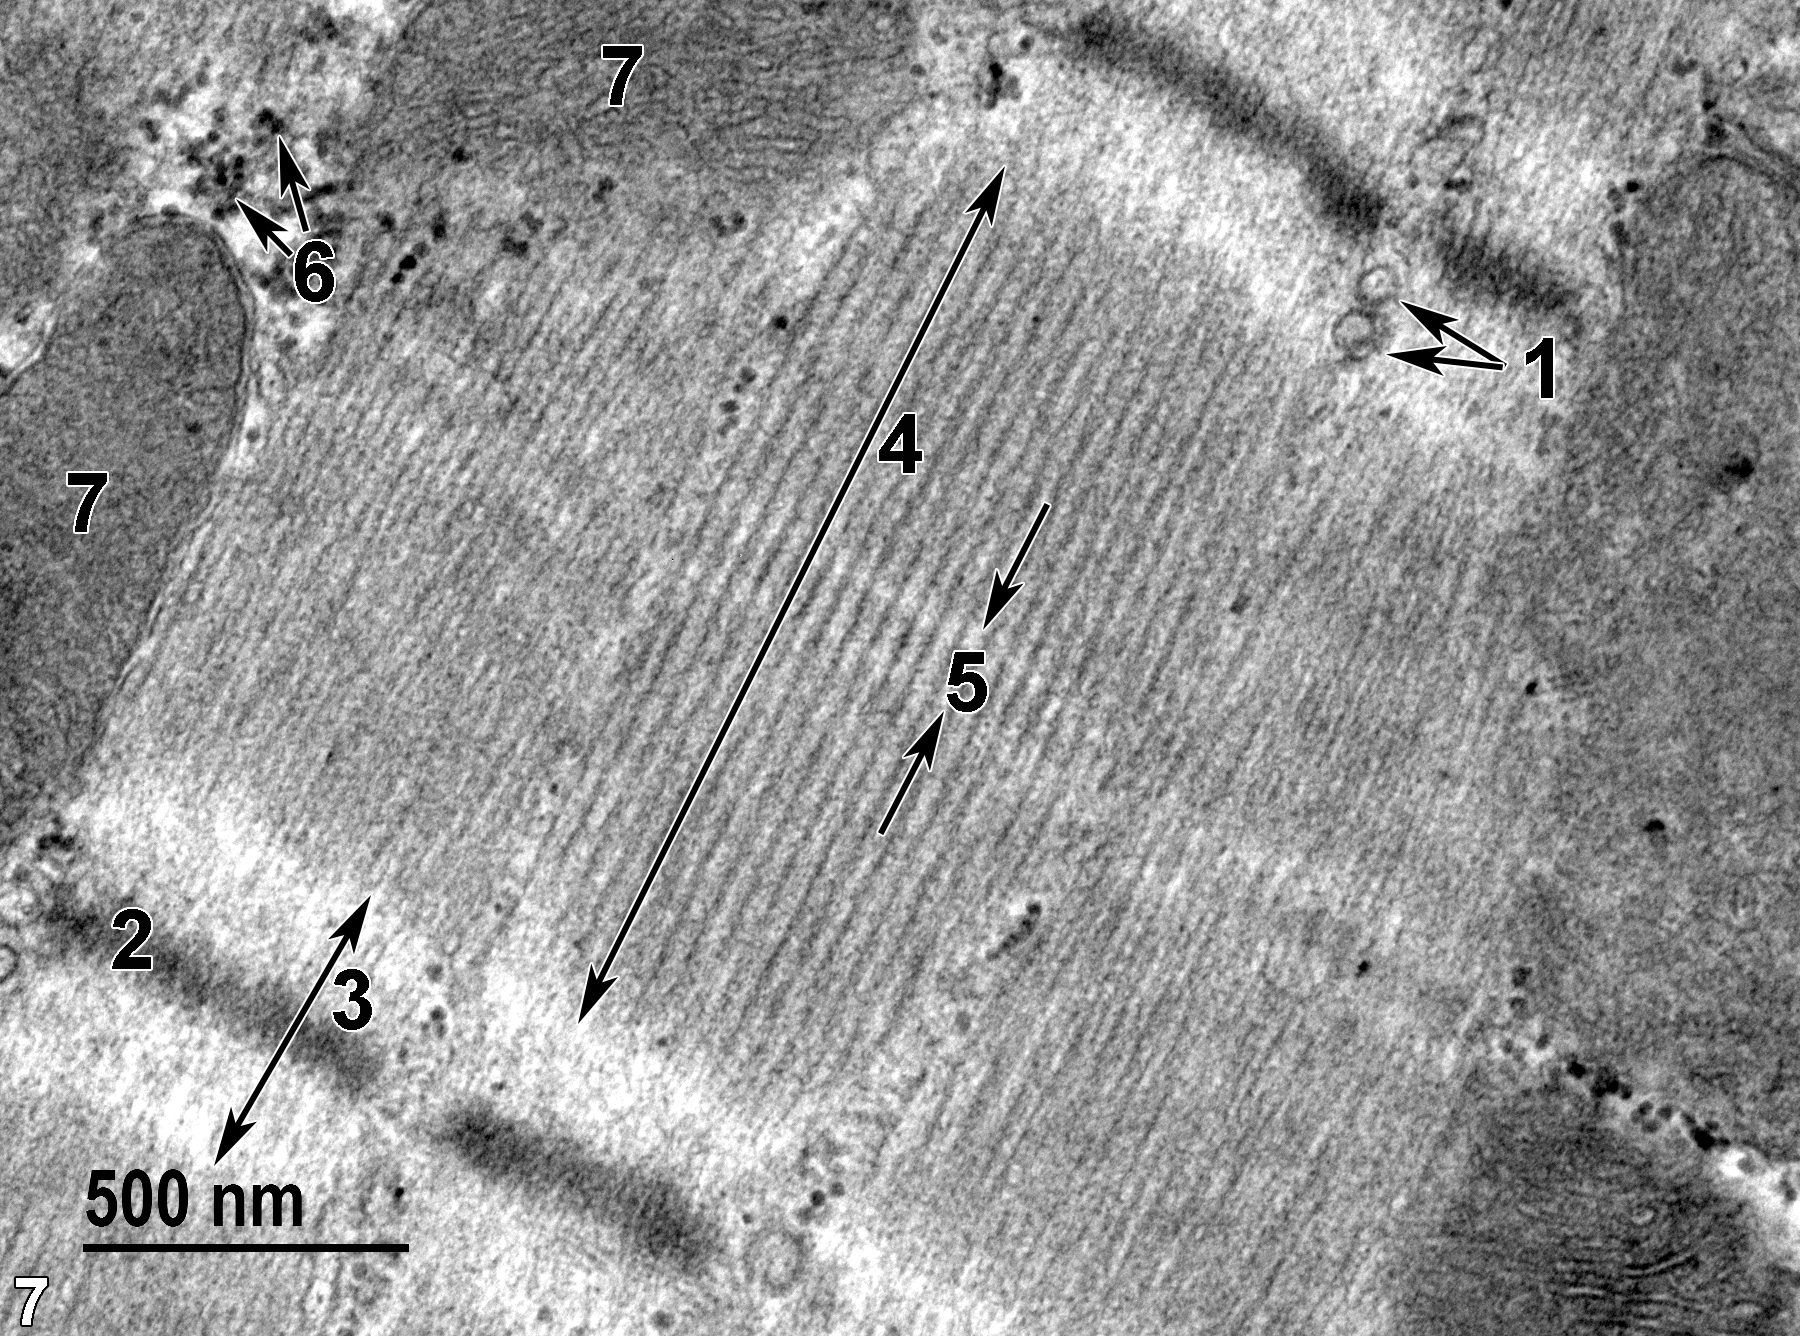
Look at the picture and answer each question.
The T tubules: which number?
It's 1.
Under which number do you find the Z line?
The Z line: 2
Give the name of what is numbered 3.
I band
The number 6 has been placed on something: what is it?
The number 6 marks the glycogen.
